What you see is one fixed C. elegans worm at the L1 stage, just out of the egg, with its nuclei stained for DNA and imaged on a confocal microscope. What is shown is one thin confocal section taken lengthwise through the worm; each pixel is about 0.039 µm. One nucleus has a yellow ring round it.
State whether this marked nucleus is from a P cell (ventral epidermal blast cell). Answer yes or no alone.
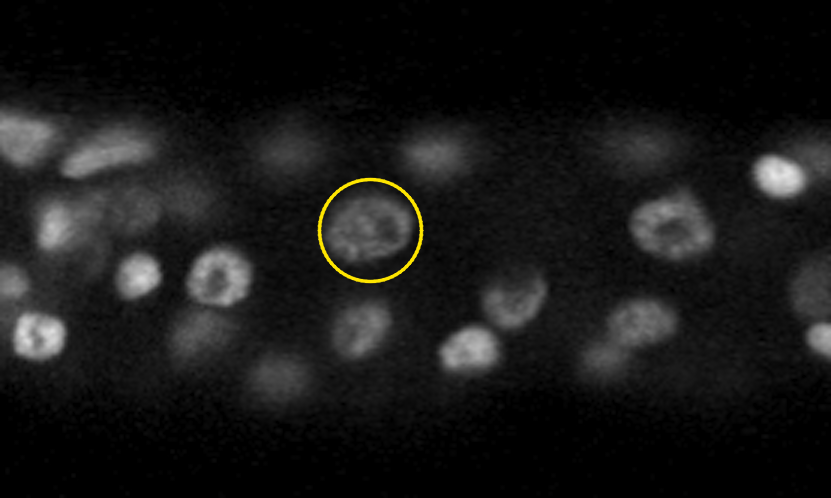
no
